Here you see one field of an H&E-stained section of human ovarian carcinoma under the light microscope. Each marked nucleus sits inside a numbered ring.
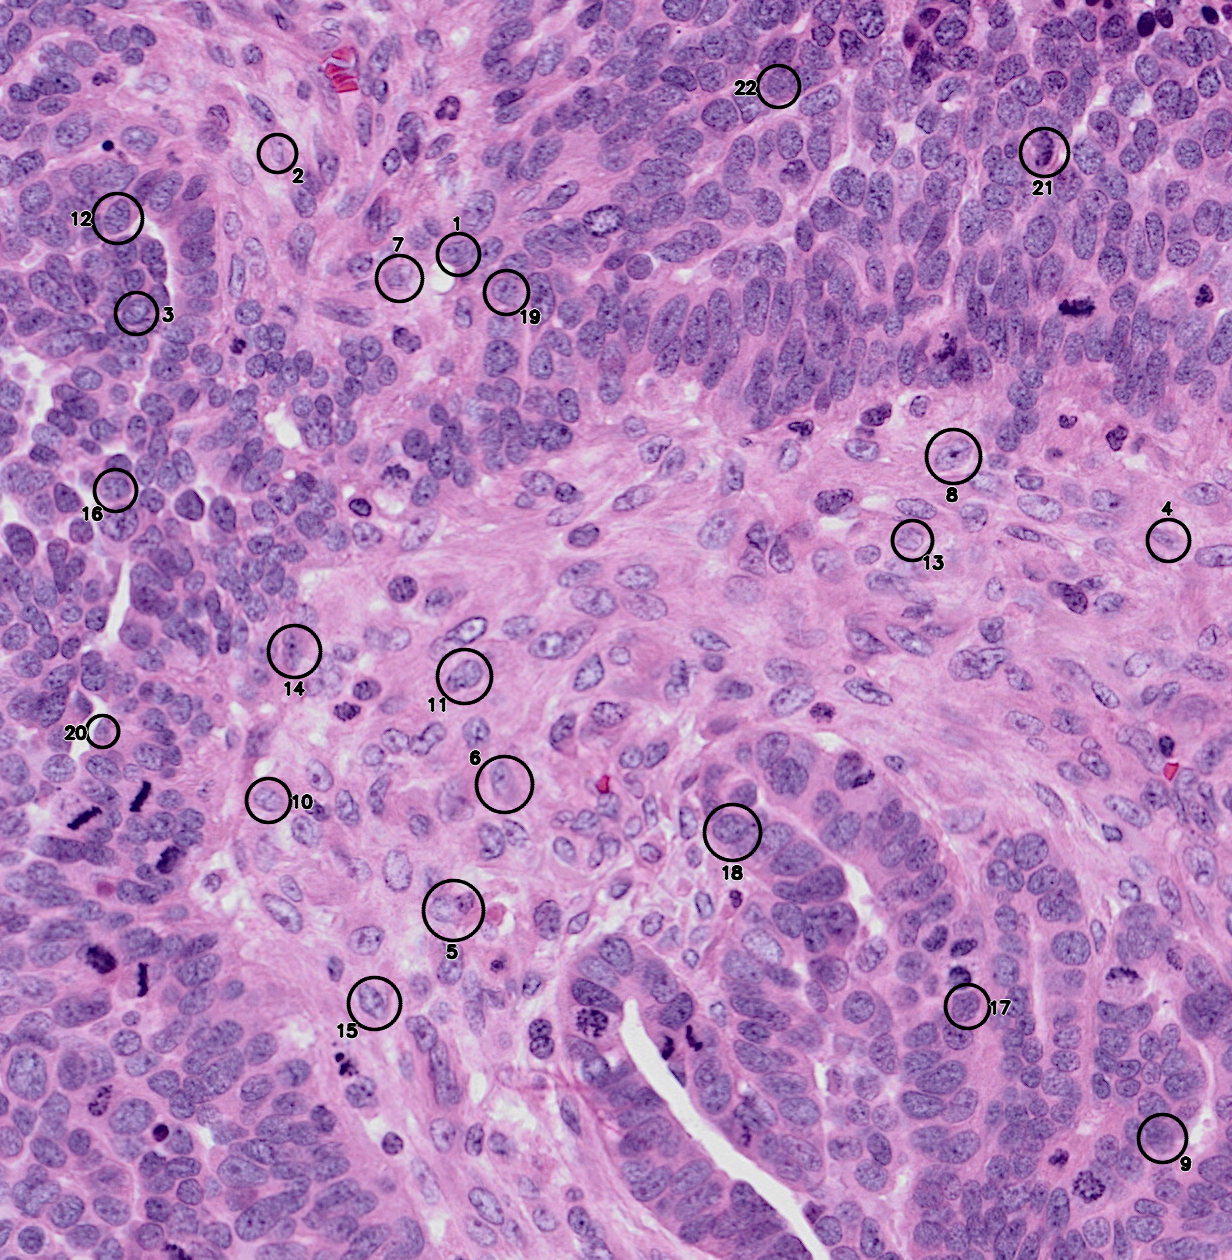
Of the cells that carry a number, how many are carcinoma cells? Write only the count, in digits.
11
